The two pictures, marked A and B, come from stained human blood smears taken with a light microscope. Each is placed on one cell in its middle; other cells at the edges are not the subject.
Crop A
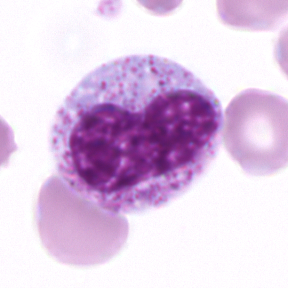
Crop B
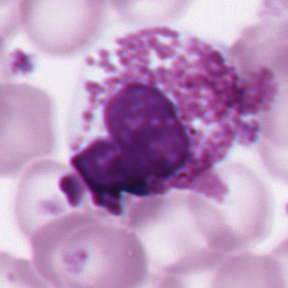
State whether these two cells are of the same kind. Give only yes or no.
no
